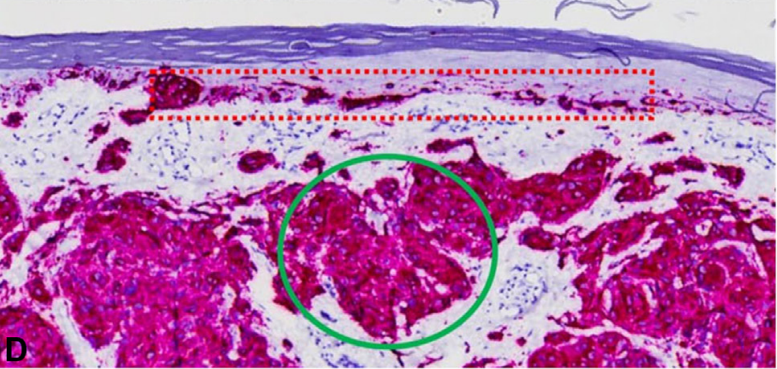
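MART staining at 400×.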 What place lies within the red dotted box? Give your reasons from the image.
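Within the box are irregular, discontinuous red-stained cell clusters. That points to this answer: dermal-epidermal junction.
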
